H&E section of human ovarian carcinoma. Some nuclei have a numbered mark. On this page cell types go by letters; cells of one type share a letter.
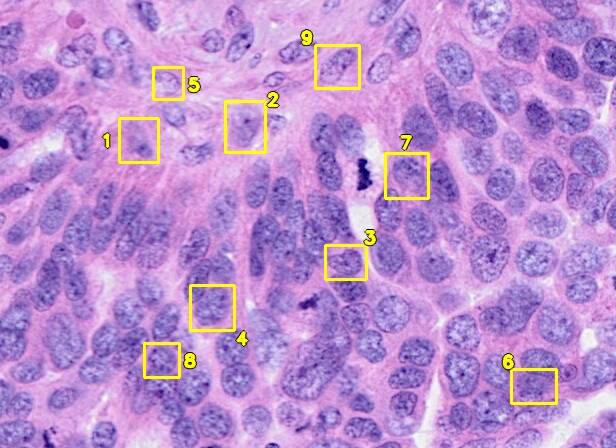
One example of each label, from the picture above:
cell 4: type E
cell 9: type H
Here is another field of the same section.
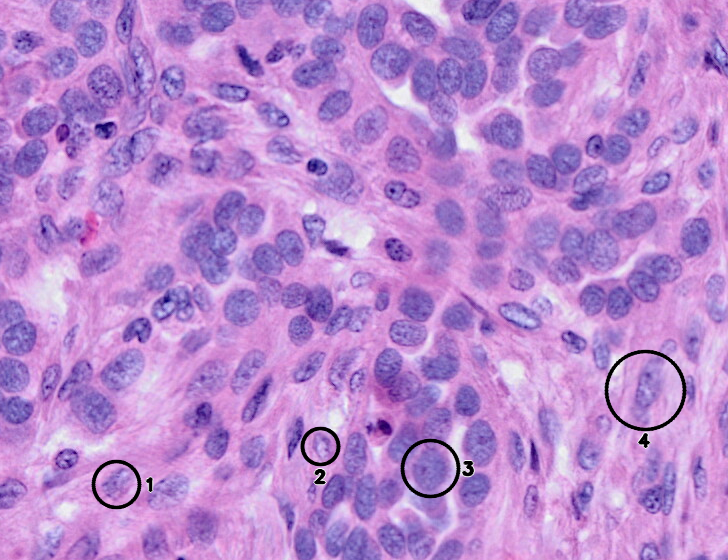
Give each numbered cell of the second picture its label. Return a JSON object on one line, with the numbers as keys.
{"1": "type H", "2": "type H", "3": "type E", "4": "type H"}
